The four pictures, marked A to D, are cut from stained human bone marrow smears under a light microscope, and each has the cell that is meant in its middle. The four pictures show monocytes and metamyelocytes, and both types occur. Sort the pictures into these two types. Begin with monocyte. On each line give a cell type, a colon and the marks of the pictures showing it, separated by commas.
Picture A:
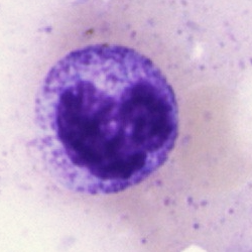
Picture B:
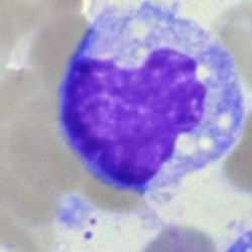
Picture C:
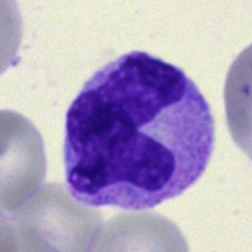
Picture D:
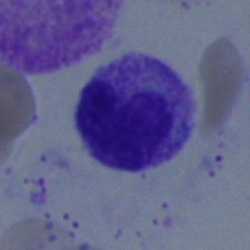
monocyte: B, C
metamyelocyte: A, D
